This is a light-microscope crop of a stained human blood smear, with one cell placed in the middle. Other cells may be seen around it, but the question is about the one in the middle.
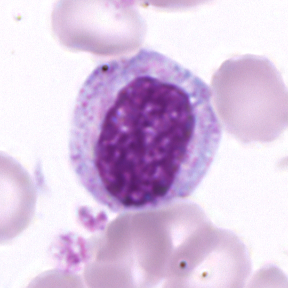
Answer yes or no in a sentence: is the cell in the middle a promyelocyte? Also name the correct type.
No, the cell in the centre is to be called a myelocyte instead of a promyelocyte.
